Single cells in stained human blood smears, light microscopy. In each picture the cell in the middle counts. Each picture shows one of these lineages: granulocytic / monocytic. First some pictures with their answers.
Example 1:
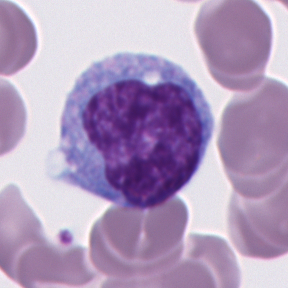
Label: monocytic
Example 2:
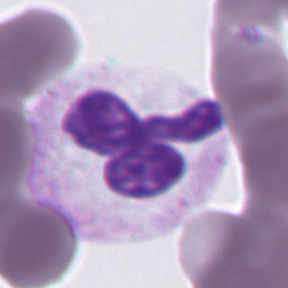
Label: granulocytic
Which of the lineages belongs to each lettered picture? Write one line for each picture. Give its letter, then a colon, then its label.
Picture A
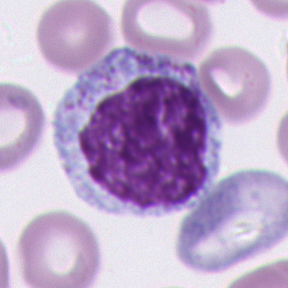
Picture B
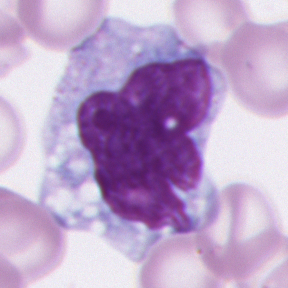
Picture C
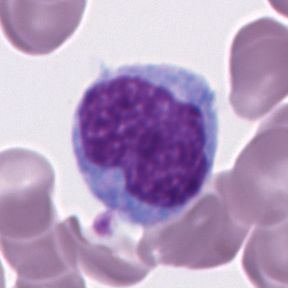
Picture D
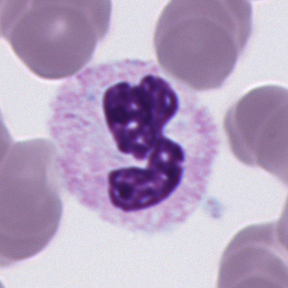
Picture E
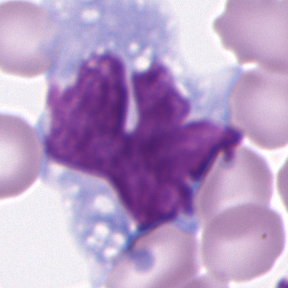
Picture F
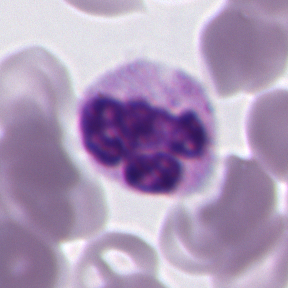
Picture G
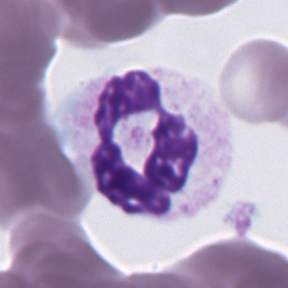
A: granulocytic
B: monocytic
C: monocytic
D: granulocytic
E: monocytic
F: granulocytic
G: granulocytic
